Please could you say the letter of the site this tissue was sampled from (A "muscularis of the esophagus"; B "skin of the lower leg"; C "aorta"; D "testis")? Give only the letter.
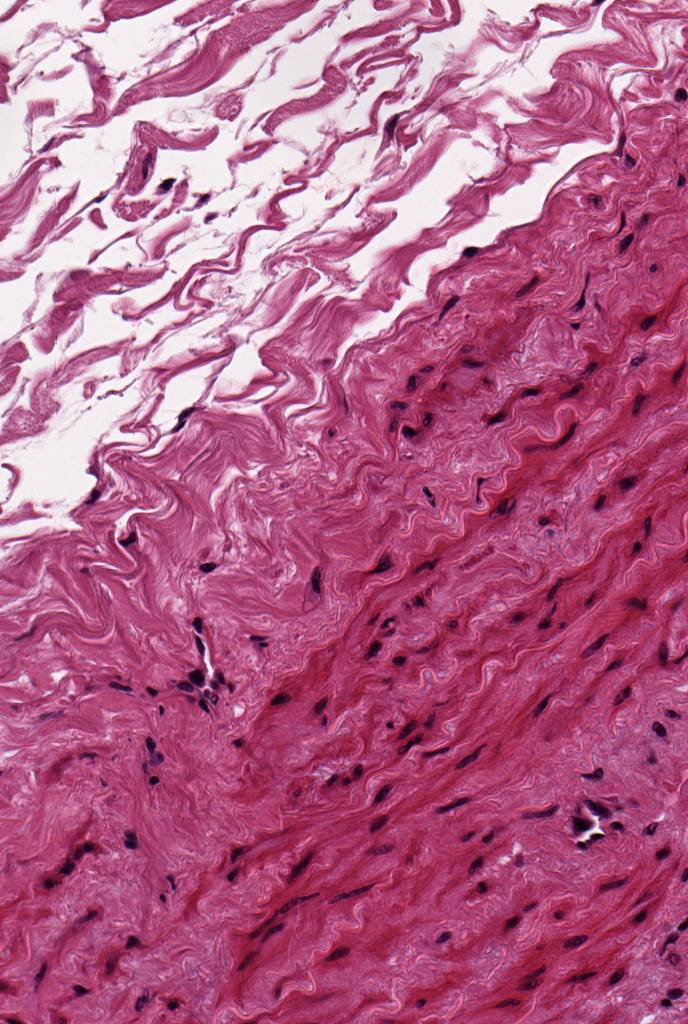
C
